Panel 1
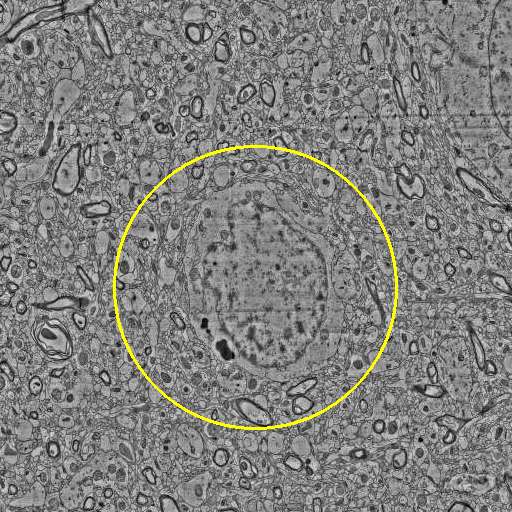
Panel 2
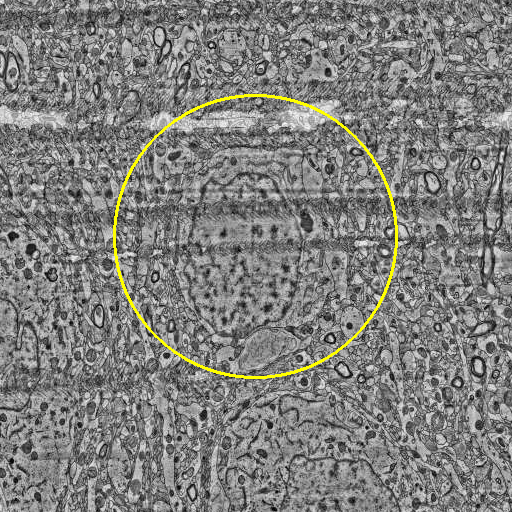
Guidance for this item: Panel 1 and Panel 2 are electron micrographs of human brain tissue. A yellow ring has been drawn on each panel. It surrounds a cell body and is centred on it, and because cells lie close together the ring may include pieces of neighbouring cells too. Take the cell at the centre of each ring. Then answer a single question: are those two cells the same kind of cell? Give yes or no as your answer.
yes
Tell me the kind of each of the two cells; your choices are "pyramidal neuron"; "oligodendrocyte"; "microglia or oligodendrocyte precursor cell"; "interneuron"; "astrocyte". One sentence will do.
The cell at the ring centre is an interneuron in both pictures.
